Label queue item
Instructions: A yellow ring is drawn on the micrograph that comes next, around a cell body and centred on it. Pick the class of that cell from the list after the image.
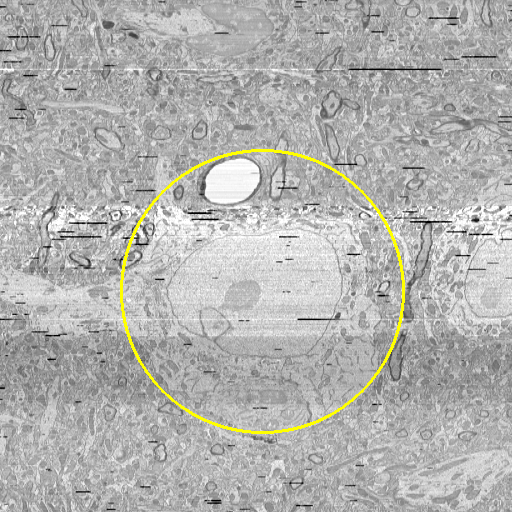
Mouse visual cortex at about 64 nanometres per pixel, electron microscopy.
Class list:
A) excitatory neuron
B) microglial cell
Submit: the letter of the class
A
